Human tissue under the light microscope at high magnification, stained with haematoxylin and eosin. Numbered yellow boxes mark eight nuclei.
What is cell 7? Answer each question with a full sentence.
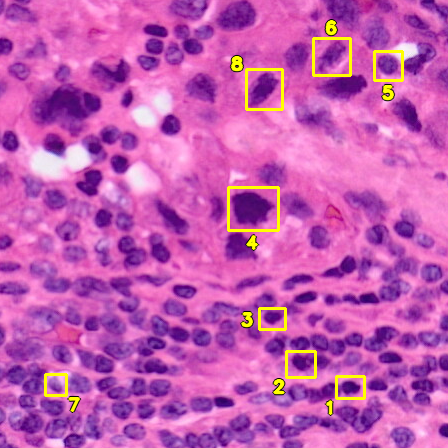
That cell with number 7 is a lymphocyte.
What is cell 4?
The cell marked with the number 4 is a carcinoma cell.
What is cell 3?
The cell whose nucleus carries the number 3 is a lymphocyte.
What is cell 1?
That cell with number 1 is a lymphocyte.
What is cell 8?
The nucleus with number 8 is that of a carcinoma cell.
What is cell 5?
The cell with the number 5 is a lymphocyte.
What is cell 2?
The one labeled 2 is a lymphocyte, to put it simply.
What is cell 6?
The one numbered 6 among the marked cells is a carcinoma cell.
